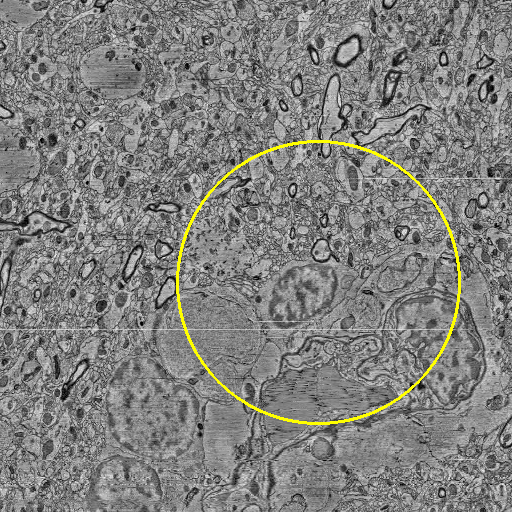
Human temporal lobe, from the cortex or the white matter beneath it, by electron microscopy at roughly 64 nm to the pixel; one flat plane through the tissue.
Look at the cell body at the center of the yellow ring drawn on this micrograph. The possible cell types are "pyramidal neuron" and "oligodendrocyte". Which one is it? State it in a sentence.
The cell in the middle of the ring is an oligodendrocyte.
